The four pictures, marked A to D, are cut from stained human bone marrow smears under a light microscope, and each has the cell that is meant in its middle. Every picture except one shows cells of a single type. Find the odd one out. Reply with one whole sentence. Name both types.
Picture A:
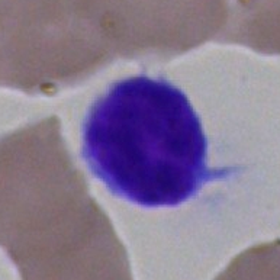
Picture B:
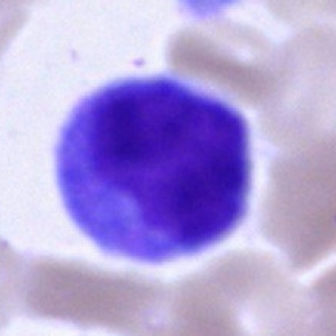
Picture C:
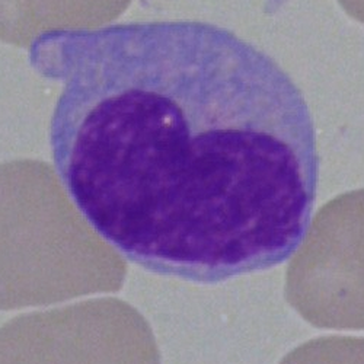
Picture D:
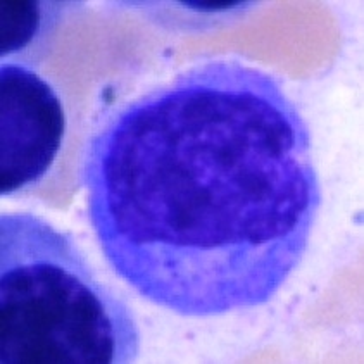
Picture A is the odd one out: it shows a lymphocyte, while the others show monocytes.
